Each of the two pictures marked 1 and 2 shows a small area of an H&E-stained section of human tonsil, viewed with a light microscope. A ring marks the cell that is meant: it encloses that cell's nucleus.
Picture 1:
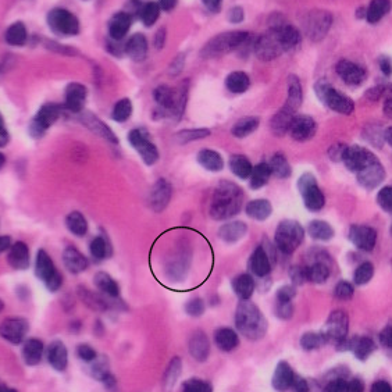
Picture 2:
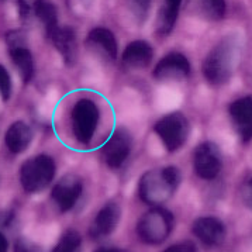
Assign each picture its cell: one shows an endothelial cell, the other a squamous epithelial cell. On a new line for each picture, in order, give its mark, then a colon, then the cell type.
1: endothelial cell
2: squamous epithelial cell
